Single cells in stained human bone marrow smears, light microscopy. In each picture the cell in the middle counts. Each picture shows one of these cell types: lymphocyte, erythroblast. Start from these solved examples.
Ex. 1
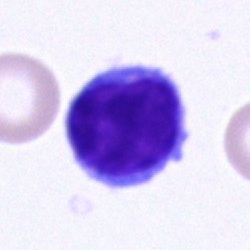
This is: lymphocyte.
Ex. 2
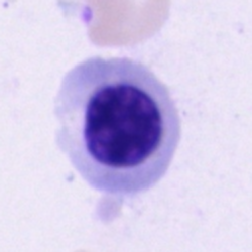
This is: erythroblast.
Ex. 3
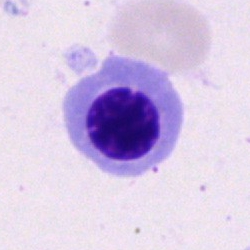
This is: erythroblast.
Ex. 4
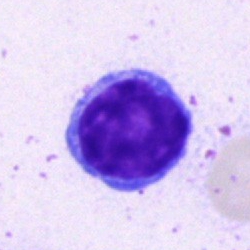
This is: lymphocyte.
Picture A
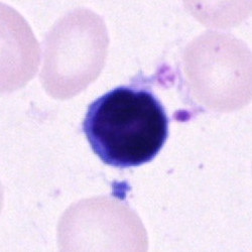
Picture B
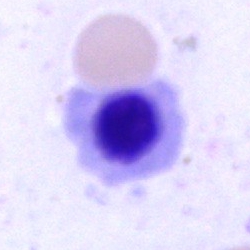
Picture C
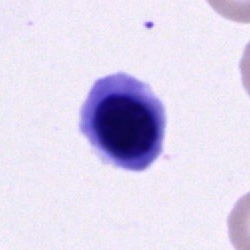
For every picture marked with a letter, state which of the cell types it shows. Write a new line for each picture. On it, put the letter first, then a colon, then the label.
A: lymphocyte.
B: erythroblast.
C: erythroblast.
